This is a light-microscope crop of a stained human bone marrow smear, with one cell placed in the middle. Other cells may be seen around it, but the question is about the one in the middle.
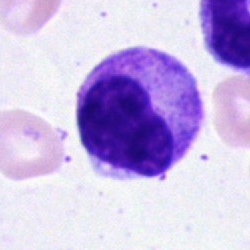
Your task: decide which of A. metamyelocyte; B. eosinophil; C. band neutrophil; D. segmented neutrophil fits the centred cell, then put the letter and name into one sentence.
The central cell of the crop is a metamyelocyte, which makes A the correct option.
